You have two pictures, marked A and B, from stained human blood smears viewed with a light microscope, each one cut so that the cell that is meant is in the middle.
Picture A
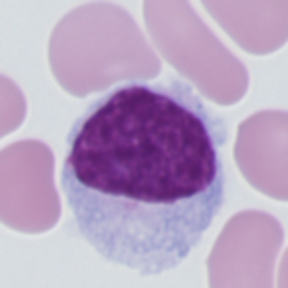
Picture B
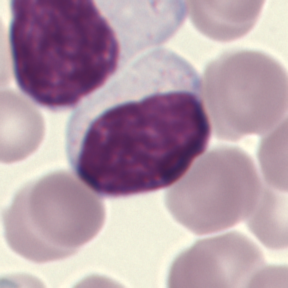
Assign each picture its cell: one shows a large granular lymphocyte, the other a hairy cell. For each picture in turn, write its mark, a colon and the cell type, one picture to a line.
A: hairy cell
B: large granular lymphocyte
